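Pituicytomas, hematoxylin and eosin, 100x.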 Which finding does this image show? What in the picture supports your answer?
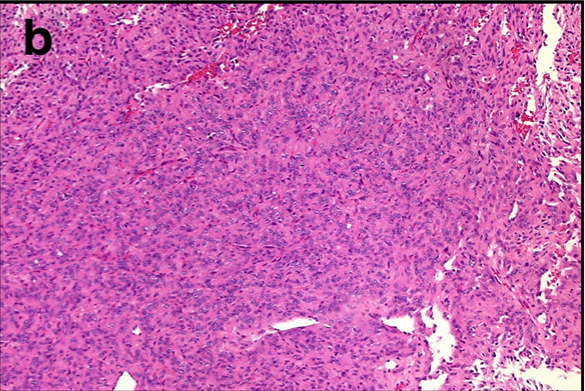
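Little stroma or empty space lies between the cells.
Answer: high cellularity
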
